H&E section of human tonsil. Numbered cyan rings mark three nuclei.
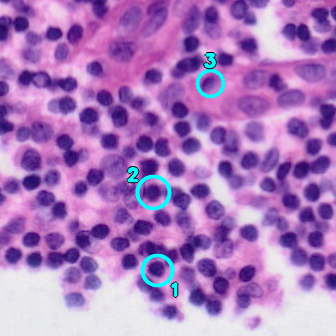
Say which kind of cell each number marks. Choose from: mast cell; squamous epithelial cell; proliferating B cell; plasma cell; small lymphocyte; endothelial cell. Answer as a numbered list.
1. small lymphocyte
2. small lymphocyte
3. endothelial cell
